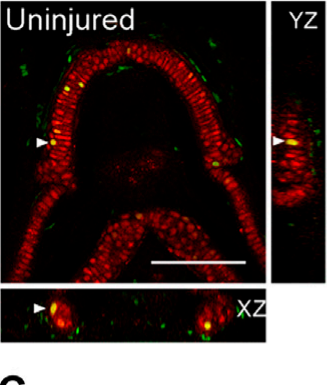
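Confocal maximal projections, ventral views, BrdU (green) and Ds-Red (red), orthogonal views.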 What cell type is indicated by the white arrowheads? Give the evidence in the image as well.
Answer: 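Chondrocytes. The marked cell lies within a red arch of regularly stacked cells. The marked nucleus appears yellow-green inside the red rod.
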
